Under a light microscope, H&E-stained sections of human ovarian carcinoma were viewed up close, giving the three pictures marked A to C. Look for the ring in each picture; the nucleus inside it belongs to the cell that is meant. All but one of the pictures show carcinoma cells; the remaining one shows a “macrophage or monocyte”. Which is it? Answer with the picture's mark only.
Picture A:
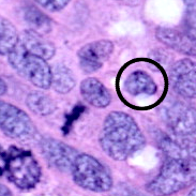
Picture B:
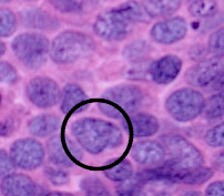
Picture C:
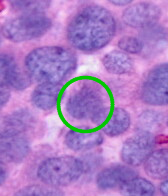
A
